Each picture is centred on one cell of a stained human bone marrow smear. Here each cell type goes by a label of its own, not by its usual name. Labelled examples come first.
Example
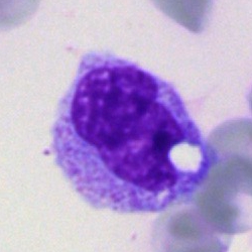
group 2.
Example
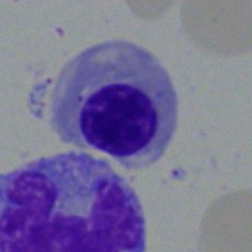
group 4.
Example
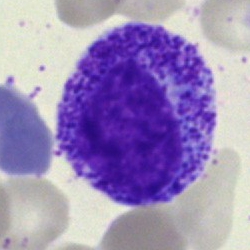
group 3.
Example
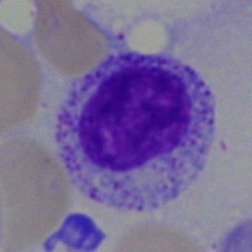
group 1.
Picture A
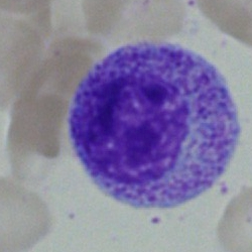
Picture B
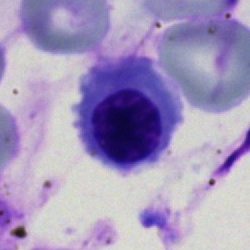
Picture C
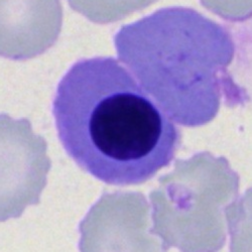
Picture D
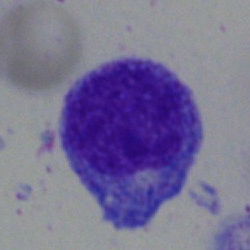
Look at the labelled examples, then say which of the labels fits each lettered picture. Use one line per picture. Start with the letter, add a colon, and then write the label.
A: group 1.
B: group 4.
C: group 4.
D: group 3.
